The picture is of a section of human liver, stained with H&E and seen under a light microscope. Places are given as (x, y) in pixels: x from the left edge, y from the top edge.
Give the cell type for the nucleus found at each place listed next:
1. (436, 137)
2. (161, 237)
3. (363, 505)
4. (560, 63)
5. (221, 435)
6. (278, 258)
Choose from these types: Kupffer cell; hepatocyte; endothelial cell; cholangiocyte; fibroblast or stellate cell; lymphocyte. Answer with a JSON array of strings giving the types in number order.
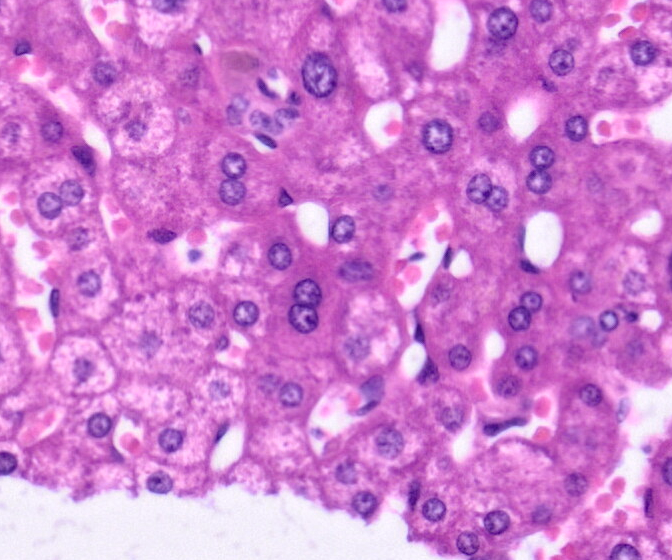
["hepatocyte", "fibroblast or stellate cell", "hepatocyte", "hepatocyte", "endothelial cell", "hepatocyte"]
